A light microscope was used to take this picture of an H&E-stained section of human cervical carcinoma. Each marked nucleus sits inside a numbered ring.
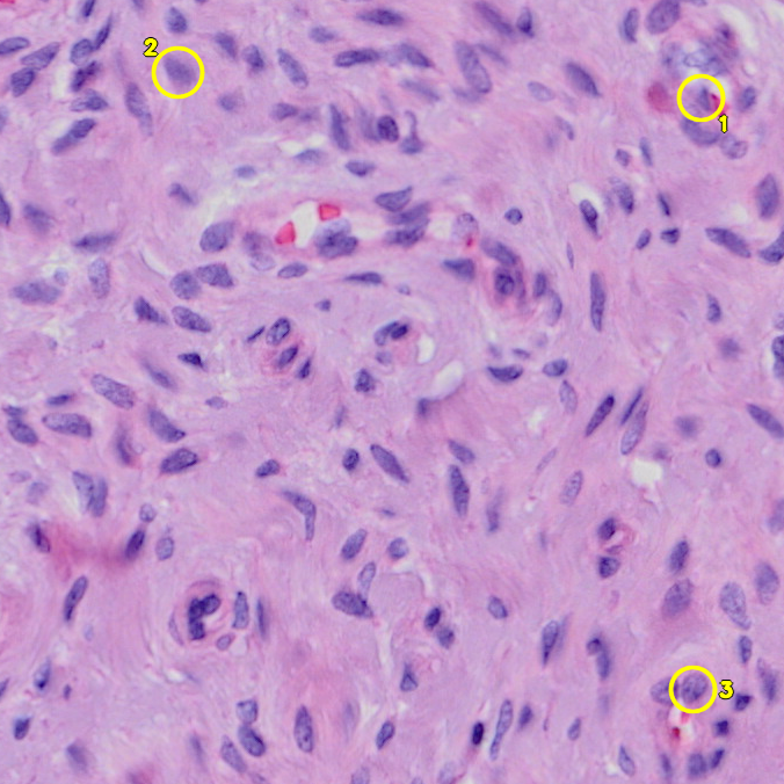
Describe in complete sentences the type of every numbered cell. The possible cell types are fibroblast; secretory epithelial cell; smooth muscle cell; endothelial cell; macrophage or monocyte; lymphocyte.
Cell 1 is an endothelial cell, cell 2 is a fibroblast and cell 3 is an endothelial cell.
